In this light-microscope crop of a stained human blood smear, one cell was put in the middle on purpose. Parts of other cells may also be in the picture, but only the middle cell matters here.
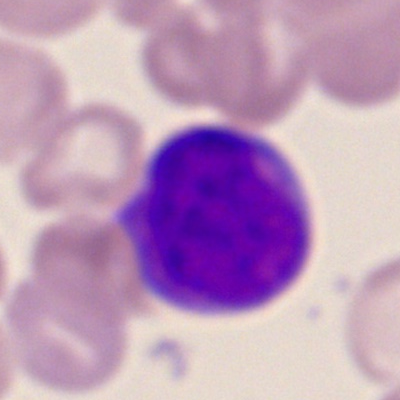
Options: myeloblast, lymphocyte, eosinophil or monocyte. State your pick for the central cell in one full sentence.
The middle position in this crop is taken by a myeloblast.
